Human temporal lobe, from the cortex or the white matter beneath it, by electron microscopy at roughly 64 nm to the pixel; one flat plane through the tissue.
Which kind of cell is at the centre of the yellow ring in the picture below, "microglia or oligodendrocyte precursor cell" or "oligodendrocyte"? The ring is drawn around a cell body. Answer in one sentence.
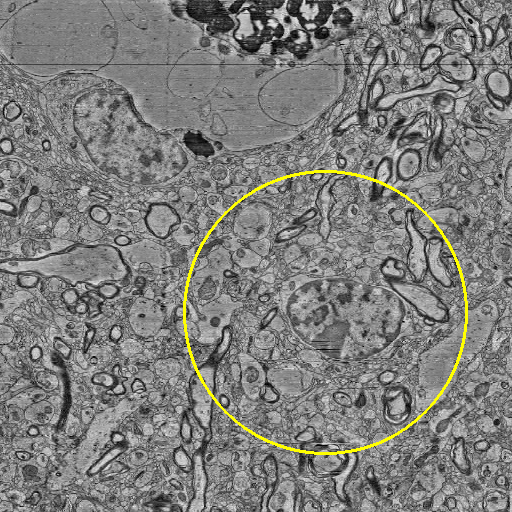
The ring's central cell is a microglial cell or oligodendrocyte precursor cell.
